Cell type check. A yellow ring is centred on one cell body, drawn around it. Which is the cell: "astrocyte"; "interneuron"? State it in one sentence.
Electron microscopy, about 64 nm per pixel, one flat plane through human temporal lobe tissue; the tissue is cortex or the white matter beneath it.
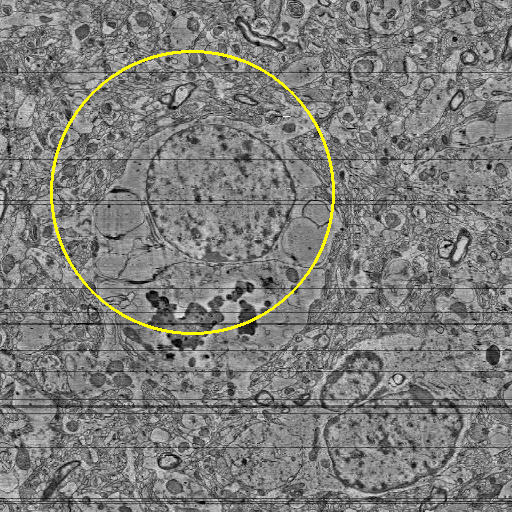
The cell body at the ring's centre belongs to an astrocyte.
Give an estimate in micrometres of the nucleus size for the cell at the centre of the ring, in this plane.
Roughly 9 micrometres across for the nucleus, in this plane.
